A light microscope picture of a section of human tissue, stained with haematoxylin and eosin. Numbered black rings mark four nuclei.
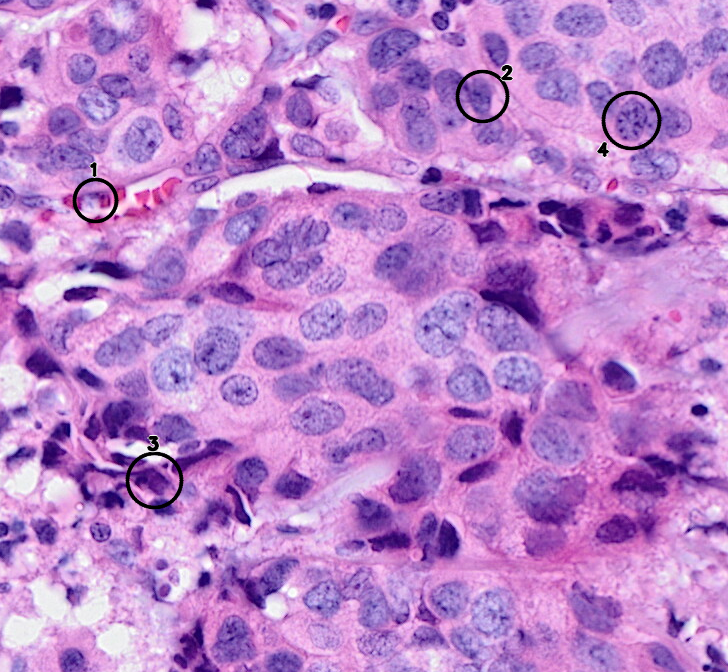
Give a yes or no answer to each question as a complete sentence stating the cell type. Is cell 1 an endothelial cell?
Yes, the marked cell number 1 is an endothelial cell.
